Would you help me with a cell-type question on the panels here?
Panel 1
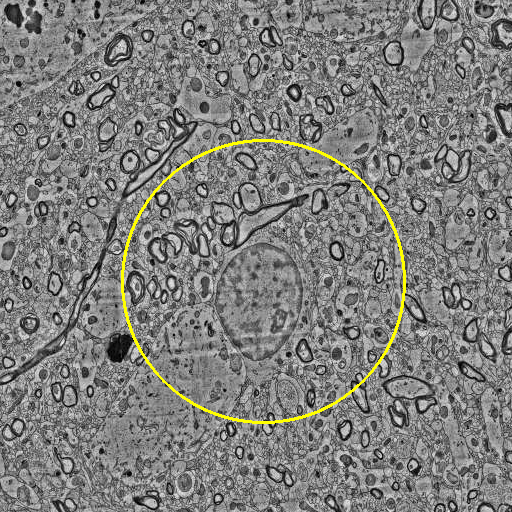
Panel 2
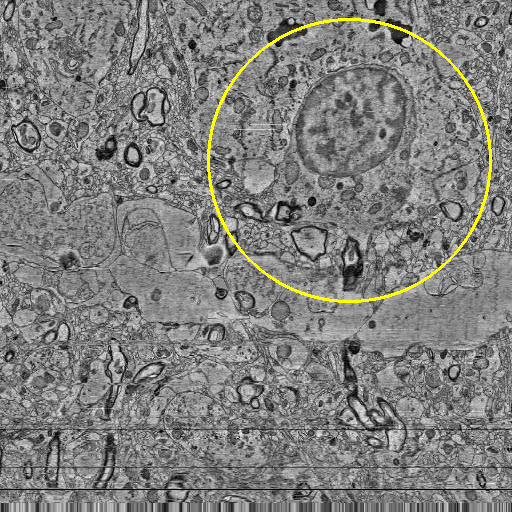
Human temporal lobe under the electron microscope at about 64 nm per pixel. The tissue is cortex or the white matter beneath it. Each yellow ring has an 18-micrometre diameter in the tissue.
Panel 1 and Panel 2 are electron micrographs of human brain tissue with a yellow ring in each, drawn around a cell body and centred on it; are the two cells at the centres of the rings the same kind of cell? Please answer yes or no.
yes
